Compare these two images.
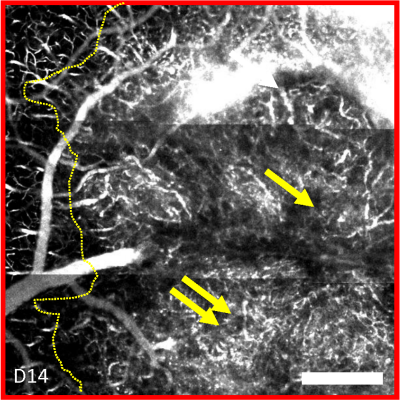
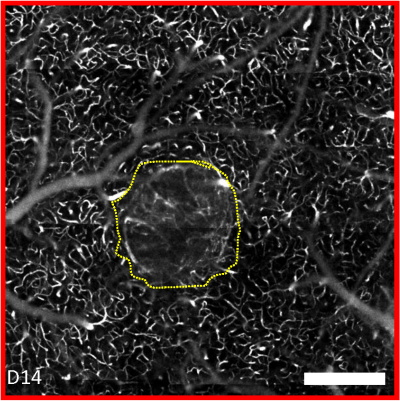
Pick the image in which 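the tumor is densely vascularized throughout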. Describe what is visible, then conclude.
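Second image: the region inside the dotted outline is darker, with only a few faint vessels, while the surrounding tissue has a dense capillary mesh. First image: the tumor region is filled with many bright, tortuous, branching vessels.
Answer: the first image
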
